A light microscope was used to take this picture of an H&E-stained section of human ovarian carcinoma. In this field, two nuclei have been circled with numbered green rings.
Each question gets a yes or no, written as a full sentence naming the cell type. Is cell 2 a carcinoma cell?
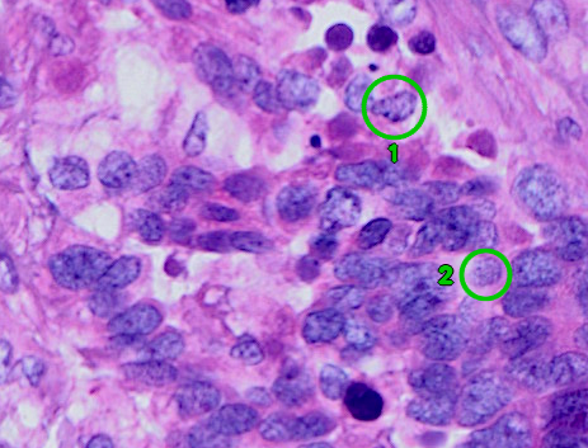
Yes, regarding cell number 2, it is a carcinoma cell.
